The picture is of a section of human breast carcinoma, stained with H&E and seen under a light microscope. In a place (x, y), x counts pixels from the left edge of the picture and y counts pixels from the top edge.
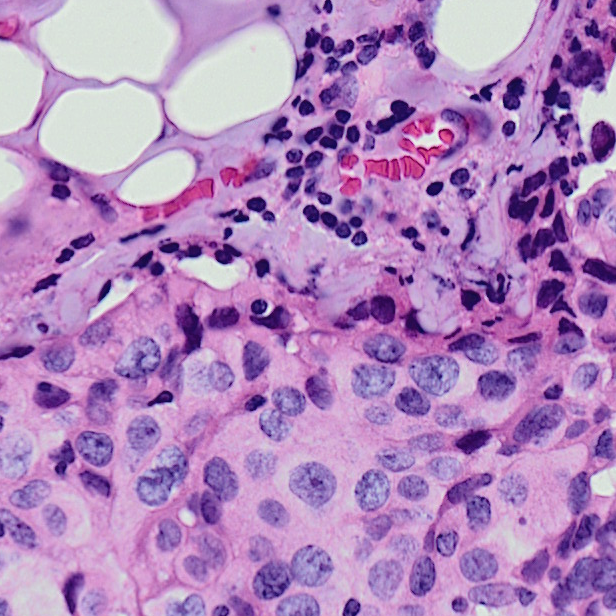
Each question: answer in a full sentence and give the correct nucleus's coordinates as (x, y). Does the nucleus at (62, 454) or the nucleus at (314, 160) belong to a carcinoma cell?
The nucleus that sits at (62, 454) is the nucleus of a carcinoma cell.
